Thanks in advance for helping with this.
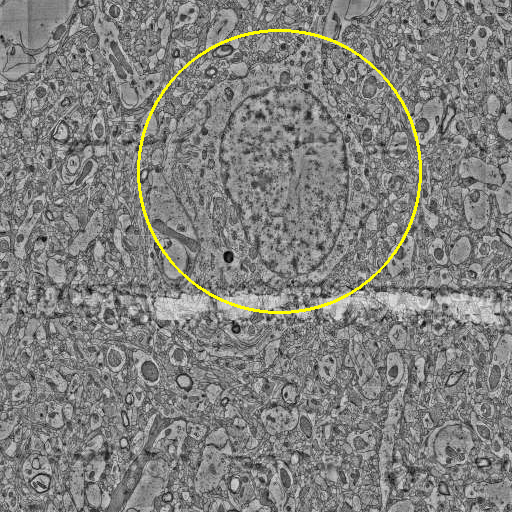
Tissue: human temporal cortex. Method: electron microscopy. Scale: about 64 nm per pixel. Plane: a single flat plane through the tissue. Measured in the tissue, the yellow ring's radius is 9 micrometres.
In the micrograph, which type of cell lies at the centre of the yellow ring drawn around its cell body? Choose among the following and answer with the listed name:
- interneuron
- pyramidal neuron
interneuron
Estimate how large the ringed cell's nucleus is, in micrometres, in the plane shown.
In this plane the nucleus is about 12 micrometres by 9.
